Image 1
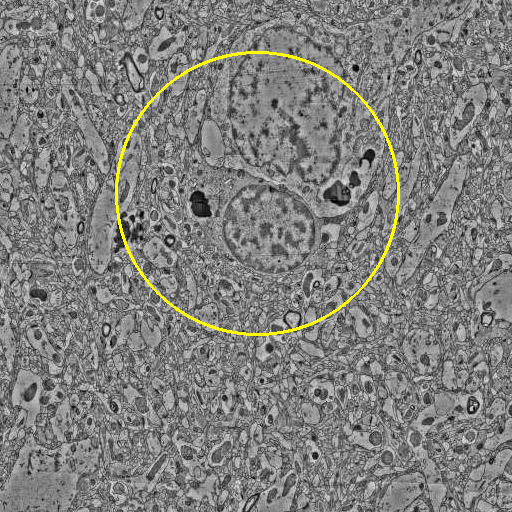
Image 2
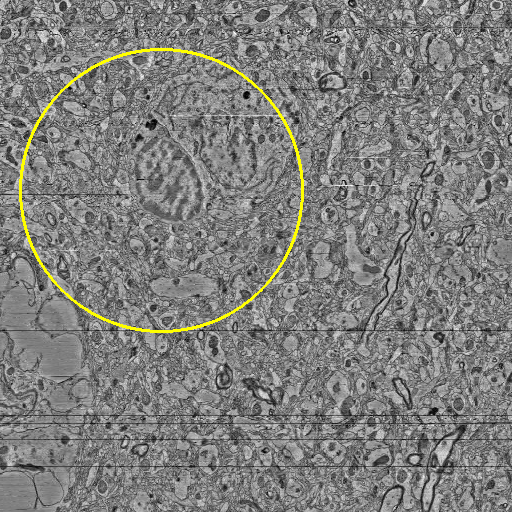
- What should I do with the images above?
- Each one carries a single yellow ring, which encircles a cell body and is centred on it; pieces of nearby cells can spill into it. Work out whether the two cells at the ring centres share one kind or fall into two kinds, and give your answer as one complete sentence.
The ring-centre cells of Image 1 and Image 2 share one kind.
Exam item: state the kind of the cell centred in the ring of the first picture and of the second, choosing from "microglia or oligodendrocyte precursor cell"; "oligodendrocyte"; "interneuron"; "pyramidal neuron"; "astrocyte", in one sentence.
Both pictures show an oligodendrocyte at the centre of the ring.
